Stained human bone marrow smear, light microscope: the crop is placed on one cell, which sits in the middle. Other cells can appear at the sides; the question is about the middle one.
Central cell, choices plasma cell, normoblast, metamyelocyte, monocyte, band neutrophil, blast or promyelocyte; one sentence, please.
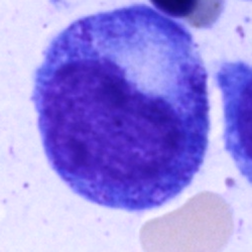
The cell in the middle of the field of view is a promyelocyte.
